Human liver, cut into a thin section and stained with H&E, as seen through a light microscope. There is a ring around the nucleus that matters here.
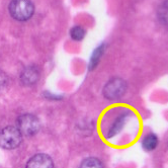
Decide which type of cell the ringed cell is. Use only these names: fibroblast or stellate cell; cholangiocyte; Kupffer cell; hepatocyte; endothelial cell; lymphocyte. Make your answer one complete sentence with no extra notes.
In this section, the ringed cell is an endothelial cell.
